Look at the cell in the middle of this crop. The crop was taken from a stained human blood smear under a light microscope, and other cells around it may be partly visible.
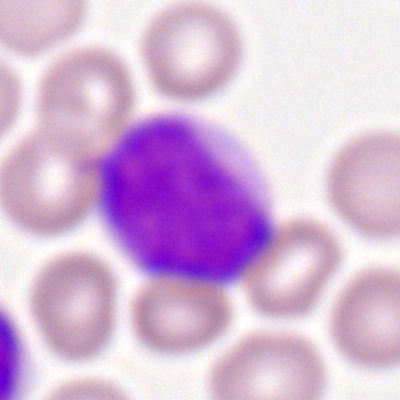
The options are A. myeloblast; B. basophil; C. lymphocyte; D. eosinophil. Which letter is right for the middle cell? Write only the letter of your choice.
A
